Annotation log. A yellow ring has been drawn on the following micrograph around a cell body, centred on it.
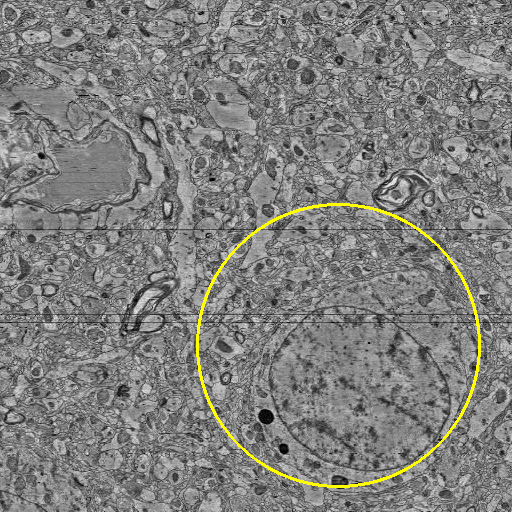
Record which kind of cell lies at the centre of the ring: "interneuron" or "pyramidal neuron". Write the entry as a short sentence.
The cell the ring is centred on is a pyramidal neuron.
